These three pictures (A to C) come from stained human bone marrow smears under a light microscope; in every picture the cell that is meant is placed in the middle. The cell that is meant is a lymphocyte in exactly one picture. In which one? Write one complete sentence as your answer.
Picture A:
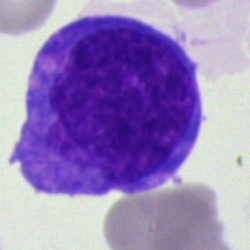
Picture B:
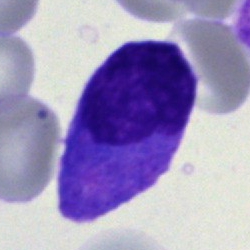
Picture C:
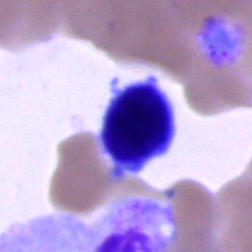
The lymphocyte is the one in picture C.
